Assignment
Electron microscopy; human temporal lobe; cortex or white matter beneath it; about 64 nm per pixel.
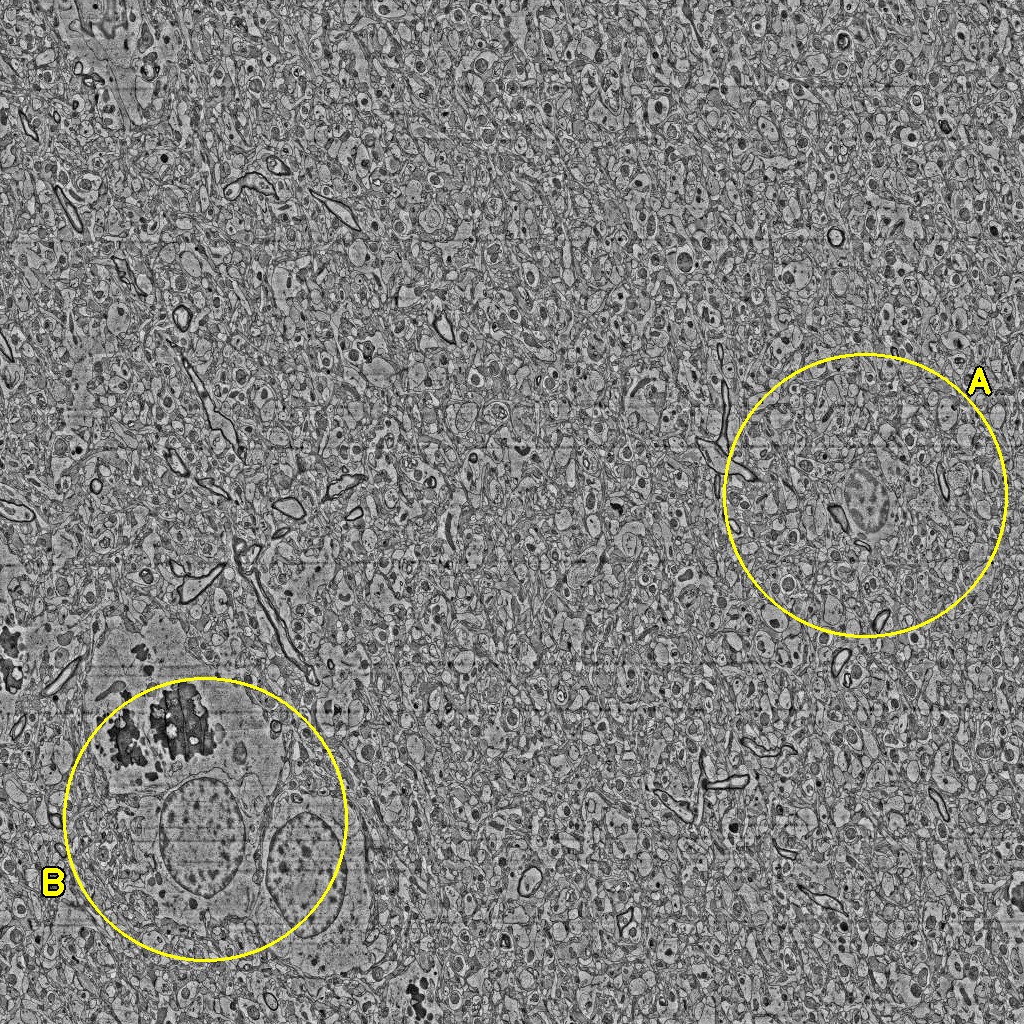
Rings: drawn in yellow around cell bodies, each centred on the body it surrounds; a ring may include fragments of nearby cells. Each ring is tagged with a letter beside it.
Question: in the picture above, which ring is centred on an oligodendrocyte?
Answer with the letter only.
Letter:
A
